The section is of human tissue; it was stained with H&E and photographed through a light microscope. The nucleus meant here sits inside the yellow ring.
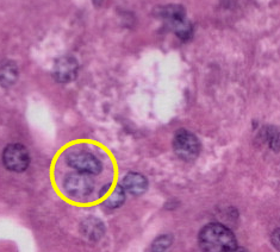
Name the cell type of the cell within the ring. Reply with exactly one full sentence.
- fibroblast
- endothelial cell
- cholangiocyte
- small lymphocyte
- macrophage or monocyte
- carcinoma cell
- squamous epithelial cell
The identity of the cell within the ring is that of a cholangiocyte.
